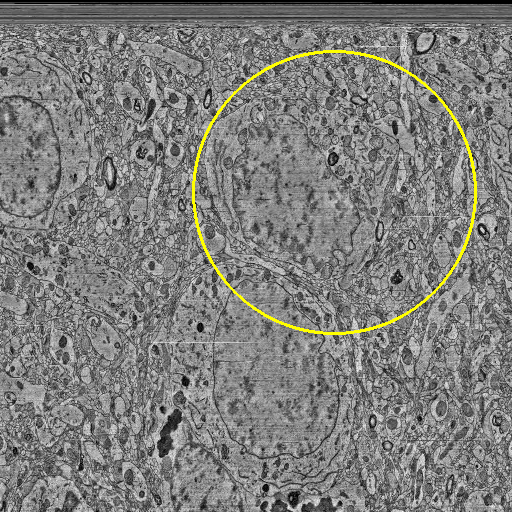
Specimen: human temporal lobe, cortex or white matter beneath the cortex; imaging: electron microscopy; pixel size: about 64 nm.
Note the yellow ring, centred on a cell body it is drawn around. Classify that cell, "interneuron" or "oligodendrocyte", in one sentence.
The cell the ring is centred on is an interneuron.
